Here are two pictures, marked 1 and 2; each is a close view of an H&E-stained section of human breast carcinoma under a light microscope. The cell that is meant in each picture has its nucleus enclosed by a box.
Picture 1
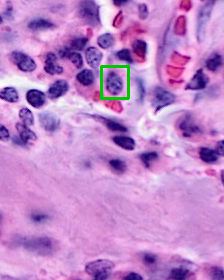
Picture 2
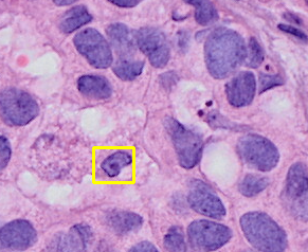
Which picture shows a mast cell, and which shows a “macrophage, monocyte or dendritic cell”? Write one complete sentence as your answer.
It is picture 1 that shows a mast cell, and picture 2 that shows a “macrophage, monocyte or dendritic cell”.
